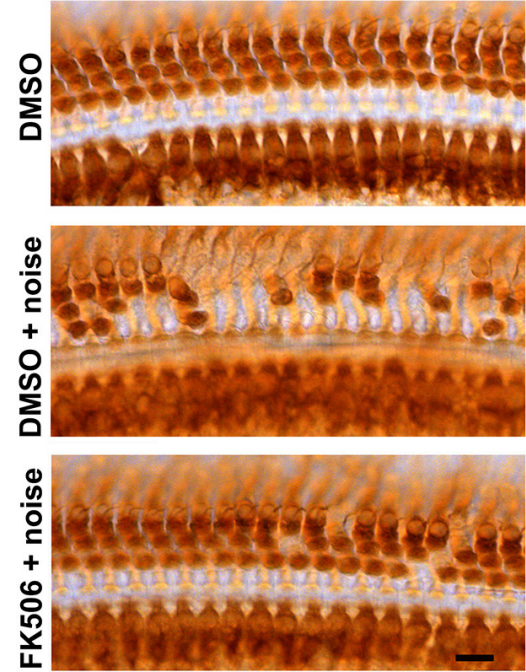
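Three stacked views of the cochlear sensory epithelium in surface view, with hair cells stained brown: three orderly rows of rounded outer hair cells lie above a pale band, and a dense brown band of cells runs along the bottom. In the top image the three outer rows are complete and evenly spaced. In the middle image the outer rows are broken by many empty positions, with only scattered cells remaining, while the lower brown band is still present. In the bottom image the outer rows are largely continuous, with only a few gaps.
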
